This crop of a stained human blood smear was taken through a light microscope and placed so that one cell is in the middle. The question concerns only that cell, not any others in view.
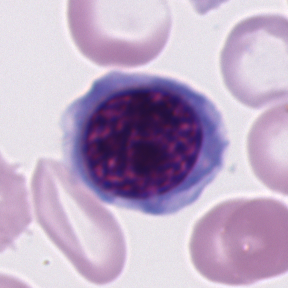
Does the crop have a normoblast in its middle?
yes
